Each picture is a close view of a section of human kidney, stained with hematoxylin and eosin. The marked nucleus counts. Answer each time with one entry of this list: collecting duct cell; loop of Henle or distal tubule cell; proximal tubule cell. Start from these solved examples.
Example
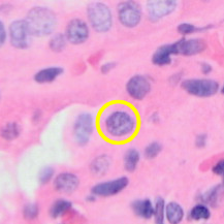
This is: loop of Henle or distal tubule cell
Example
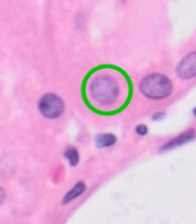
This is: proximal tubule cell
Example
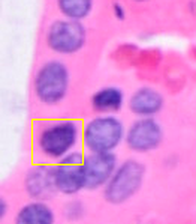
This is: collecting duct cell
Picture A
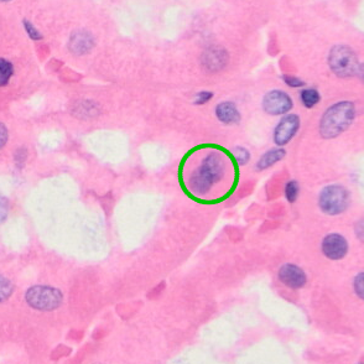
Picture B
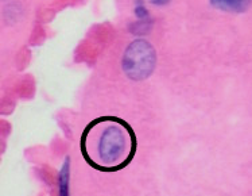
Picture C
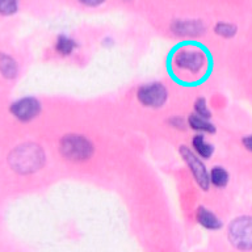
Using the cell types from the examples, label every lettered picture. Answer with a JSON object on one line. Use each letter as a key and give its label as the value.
{"A": "proximal tubule cell", "B": "proximal tubule cell", "C": "loop of Henle or distal tubule cell"}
